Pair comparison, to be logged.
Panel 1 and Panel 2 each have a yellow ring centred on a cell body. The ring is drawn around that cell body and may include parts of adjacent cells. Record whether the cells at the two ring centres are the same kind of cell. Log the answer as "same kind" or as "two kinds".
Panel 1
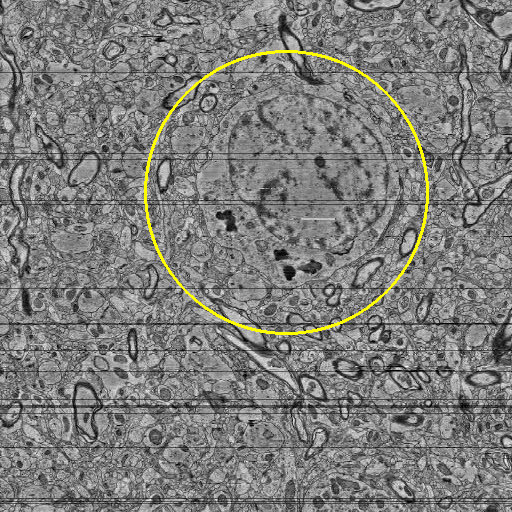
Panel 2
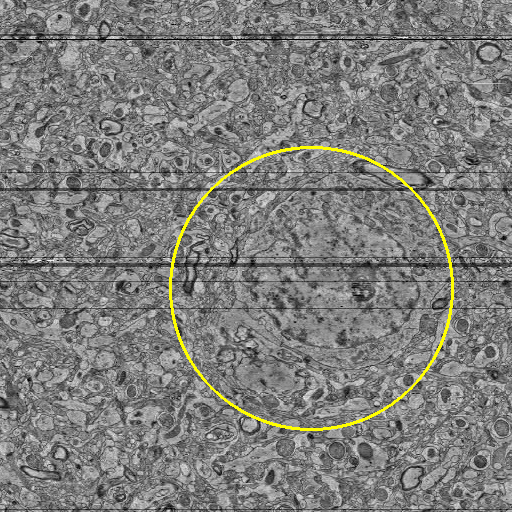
same kind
